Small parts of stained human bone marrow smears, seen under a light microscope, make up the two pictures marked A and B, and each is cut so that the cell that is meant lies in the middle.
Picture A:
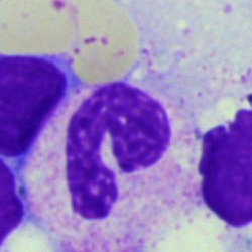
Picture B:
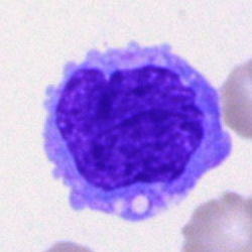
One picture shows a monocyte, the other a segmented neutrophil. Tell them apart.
A: segmented neutrophil
B: monocyte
